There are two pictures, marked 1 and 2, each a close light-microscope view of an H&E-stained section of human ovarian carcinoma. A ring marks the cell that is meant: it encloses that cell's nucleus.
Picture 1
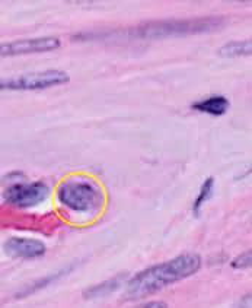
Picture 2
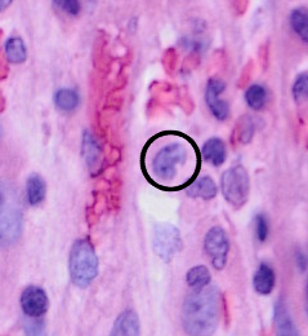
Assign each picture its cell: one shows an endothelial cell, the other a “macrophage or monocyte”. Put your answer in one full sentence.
Picture 1 is of an endothelial cell, and picture 2 is of a “macrophage or monocyte”.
